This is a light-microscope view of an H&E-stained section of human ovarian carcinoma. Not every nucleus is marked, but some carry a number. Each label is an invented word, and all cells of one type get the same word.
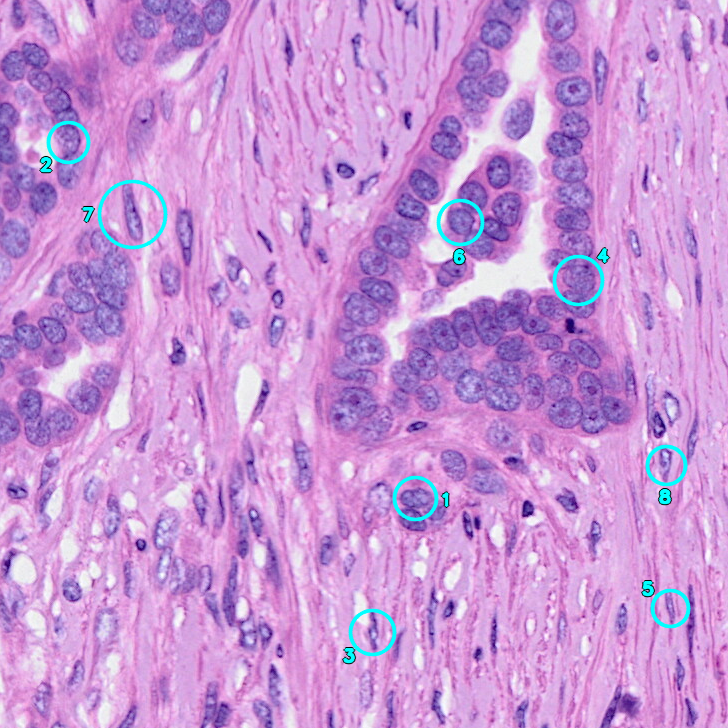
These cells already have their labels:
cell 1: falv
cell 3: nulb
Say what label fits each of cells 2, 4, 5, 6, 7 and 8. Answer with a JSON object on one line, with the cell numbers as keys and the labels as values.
{"2": "falv", "4": "falv", "5": "nulb", "6": "falv", "7": "nulb", "8": "nulb"}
